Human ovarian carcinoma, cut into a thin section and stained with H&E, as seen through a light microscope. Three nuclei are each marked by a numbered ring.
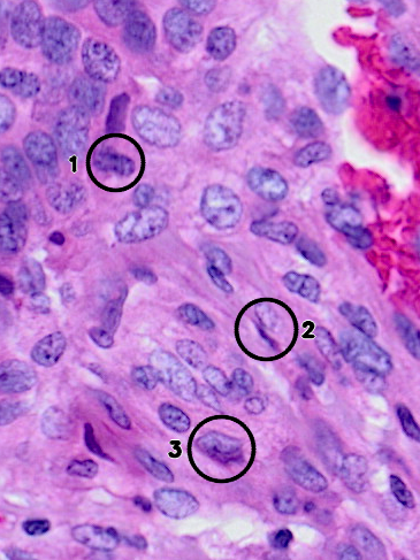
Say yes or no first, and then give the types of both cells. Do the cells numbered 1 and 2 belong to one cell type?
No, cell 1 is a macrophage or monocyte and cell 2 is a fibroblast.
